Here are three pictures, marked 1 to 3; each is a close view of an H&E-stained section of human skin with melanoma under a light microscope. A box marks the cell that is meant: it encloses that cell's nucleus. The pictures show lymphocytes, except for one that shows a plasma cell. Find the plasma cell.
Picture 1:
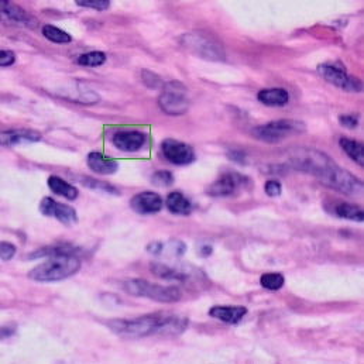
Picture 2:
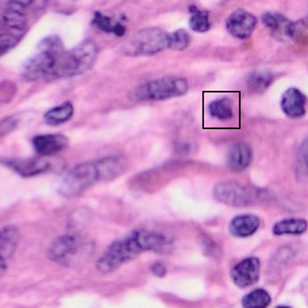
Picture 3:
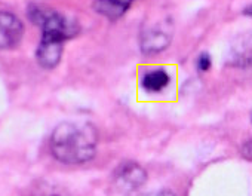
1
